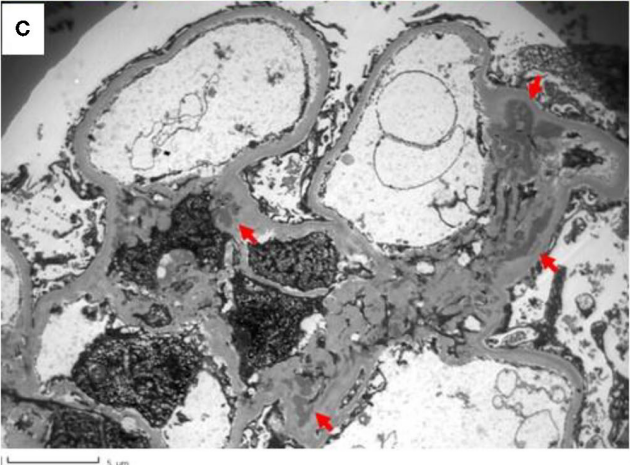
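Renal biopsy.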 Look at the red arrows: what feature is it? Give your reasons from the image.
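Electron dense deposits. The red arrows point to darker grey patches within the matrix between capillary loops. The capillary walls bordering the open lumens lack such dark patches.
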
